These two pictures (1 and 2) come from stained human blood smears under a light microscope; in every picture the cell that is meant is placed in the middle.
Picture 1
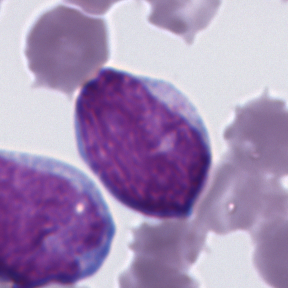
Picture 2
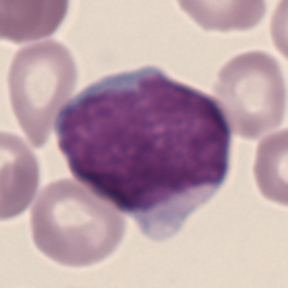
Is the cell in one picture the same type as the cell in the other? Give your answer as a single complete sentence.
Yes, the two pictures both show myeloblasts.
